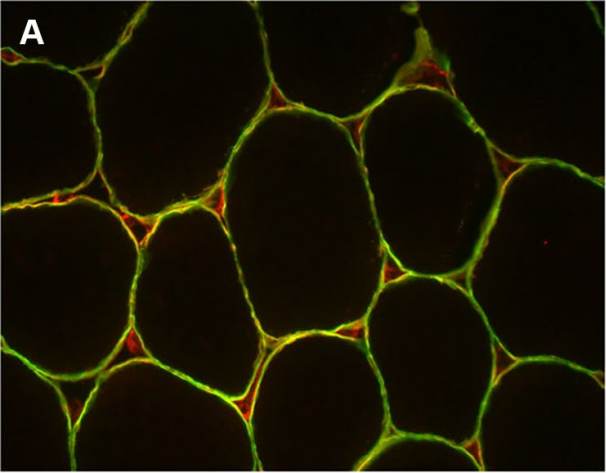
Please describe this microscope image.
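This is skeletal muscle cut in cross section, with closely packed polygonal fibres of fairly even size. The spaces between fibres are narrow, with only small red triangles where several fibres meet.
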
